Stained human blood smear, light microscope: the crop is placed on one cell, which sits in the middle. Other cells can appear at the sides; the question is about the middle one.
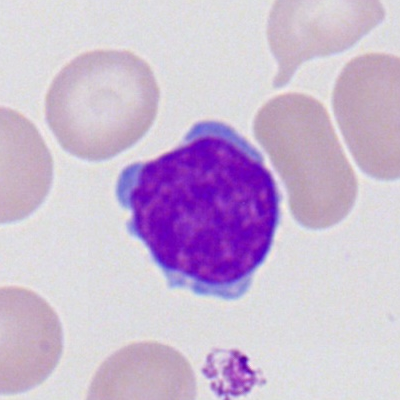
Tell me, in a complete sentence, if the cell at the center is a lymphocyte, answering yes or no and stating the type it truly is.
Yes, in this crop the cell in the middle is a lymphocyte.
